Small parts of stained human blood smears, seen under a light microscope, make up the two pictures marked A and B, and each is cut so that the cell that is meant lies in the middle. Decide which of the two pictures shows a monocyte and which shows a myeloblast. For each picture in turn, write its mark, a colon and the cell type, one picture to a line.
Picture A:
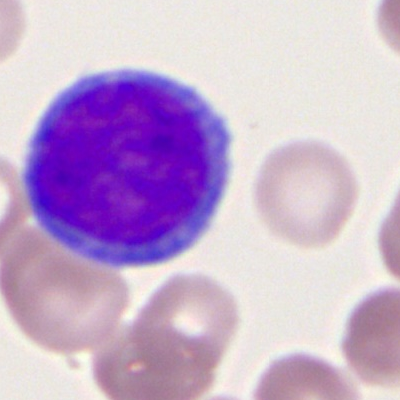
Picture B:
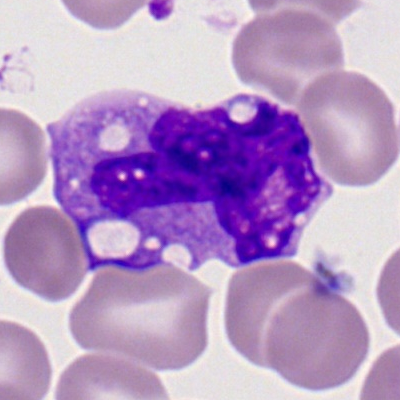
A: myeloblast
B: monocyte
